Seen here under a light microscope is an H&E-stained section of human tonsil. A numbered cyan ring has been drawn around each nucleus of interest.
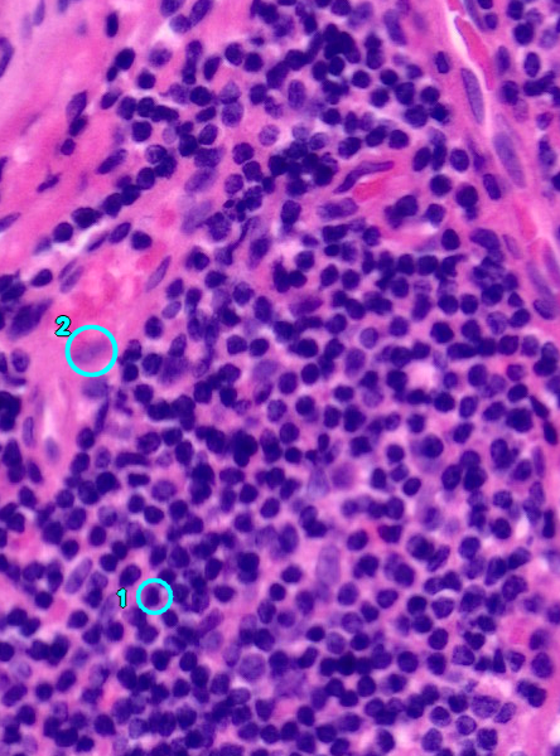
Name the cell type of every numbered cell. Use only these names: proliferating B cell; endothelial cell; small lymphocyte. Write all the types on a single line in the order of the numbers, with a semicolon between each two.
small lymphocyte; endothelial cell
